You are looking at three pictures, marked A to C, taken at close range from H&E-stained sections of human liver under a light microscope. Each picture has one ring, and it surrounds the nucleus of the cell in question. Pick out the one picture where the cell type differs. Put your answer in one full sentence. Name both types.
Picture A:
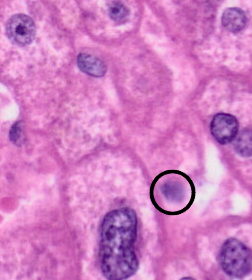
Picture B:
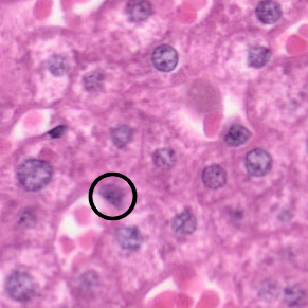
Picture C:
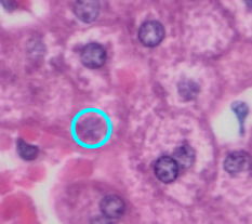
The different one is picture C; it shows a hepatocyte, whereas all the others show endothelial cells.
